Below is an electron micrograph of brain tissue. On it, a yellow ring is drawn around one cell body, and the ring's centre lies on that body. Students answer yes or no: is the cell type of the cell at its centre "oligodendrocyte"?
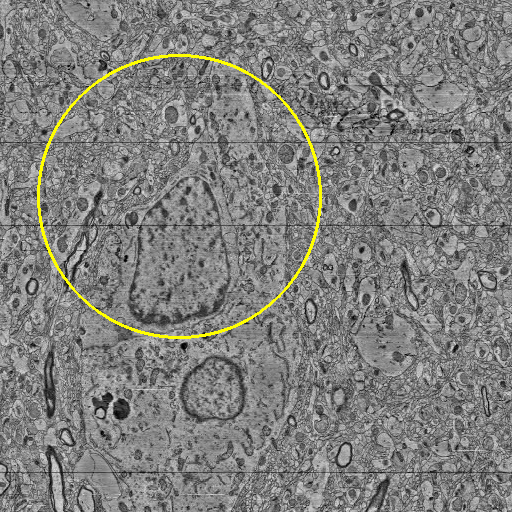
no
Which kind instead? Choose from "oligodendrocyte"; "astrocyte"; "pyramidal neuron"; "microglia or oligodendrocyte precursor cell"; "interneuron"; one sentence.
The cell ringed in the picture is a microglial cell or oligodendrocyte precursor cell.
